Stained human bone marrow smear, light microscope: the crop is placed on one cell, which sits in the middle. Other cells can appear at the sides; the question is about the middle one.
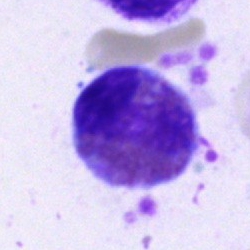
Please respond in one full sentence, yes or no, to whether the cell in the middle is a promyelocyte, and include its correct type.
No, the central cell is not a promyelocyte, being instead an eosinophil.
